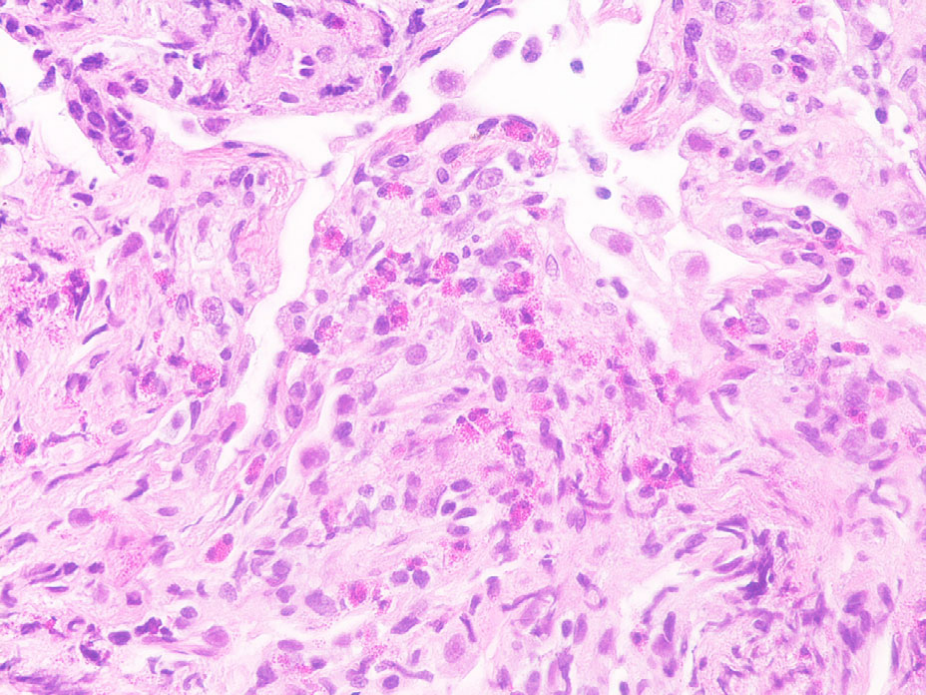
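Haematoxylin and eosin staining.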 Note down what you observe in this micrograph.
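This is lung tissue whose alveolar septa are thickened by pale pink fibrous tissue holding spindle-shaped and plump stromal nuclei, leaving only narrow, slit-like air spaces. Scattered through the thickened septa are many eosinophils, whose cytoplasm is filled with coarse bright red-pink granules around small, dark, lobed nuclei. Plumper cells with round nuclei line the air spaces.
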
